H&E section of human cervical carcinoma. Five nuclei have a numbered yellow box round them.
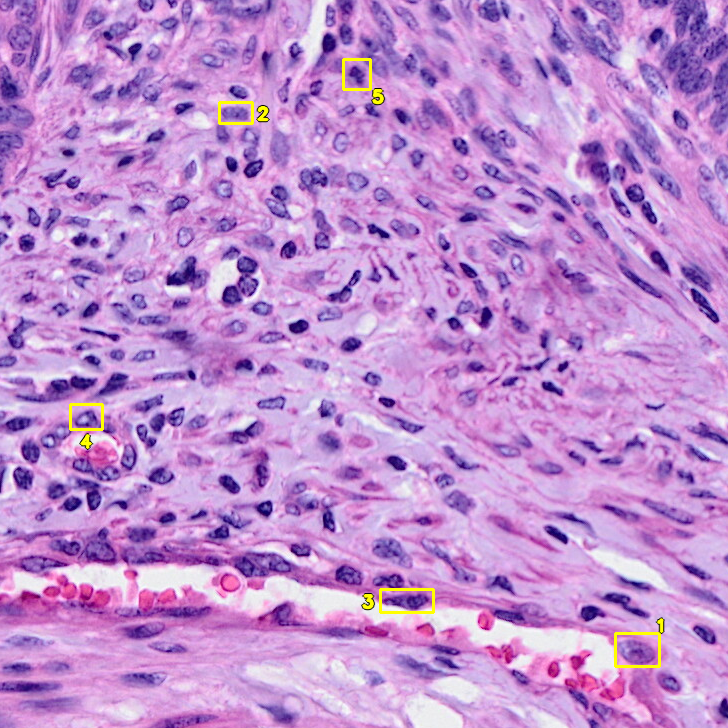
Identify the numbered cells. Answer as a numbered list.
1. endothelial cell
2. fibroblast
3. endothelial cell
4. endothelial cell
5. lymphocyte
